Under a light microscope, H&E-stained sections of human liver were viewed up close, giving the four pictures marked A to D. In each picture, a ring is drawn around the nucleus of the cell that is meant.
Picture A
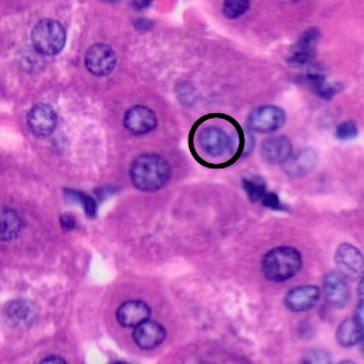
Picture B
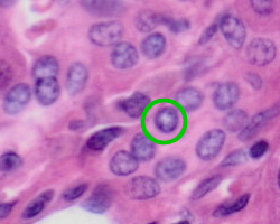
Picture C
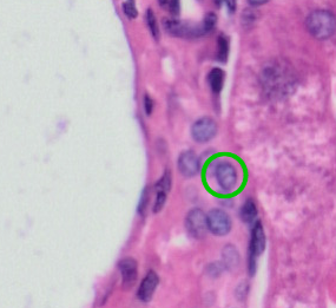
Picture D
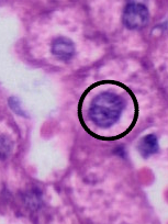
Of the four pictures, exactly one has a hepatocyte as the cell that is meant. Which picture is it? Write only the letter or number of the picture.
D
